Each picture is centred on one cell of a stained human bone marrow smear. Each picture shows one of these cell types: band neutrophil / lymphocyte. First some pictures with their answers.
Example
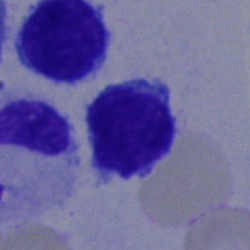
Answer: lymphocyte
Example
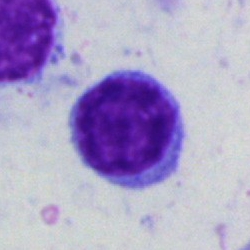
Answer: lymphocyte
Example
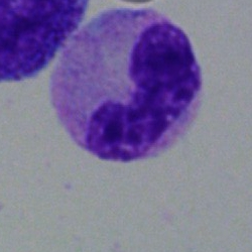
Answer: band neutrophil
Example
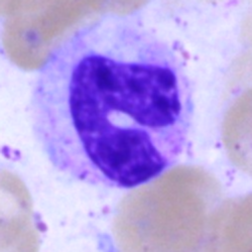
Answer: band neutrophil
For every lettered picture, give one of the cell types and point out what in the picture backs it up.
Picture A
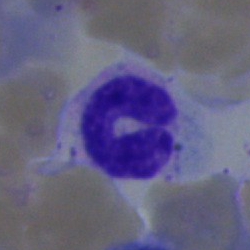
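band neutrophil. The nucleus is bent into a C shape whose opening faces right.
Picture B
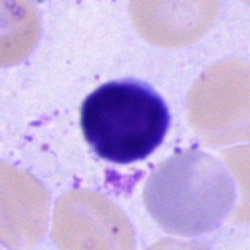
lymphocyte. Cytoplasm is scant, at most a thin rim around the nucleus.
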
